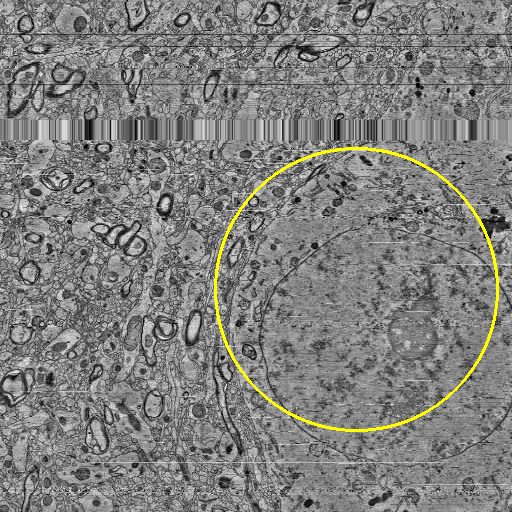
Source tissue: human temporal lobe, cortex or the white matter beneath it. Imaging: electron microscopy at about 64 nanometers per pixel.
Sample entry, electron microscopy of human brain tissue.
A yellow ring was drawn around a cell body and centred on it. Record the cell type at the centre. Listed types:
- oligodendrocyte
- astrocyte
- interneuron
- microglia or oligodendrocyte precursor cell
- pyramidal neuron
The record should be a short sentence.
The cell at the ring's centre is a pyramidal neuron.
